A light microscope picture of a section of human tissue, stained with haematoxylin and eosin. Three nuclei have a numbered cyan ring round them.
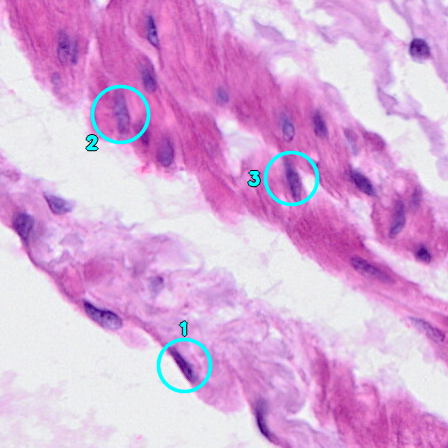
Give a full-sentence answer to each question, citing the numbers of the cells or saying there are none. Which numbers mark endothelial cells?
Unlike the other numbered cells, cell 1 is an endothelial cell.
